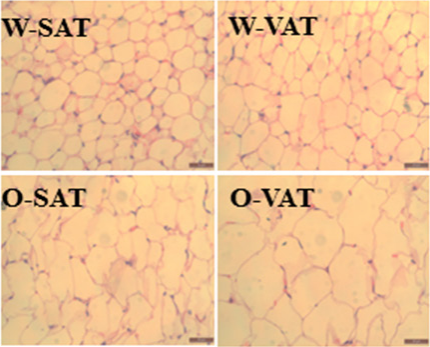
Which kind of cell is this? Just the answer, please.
Adipocyte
